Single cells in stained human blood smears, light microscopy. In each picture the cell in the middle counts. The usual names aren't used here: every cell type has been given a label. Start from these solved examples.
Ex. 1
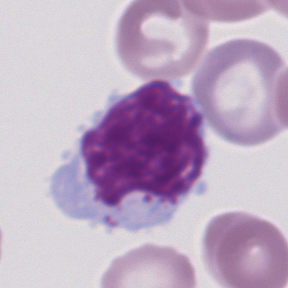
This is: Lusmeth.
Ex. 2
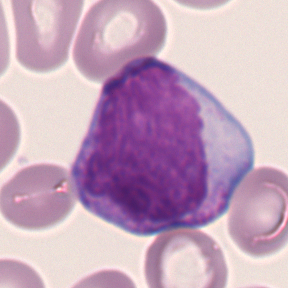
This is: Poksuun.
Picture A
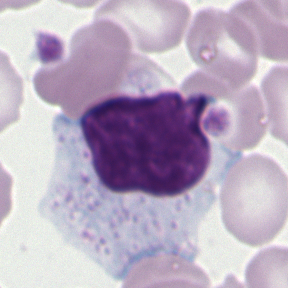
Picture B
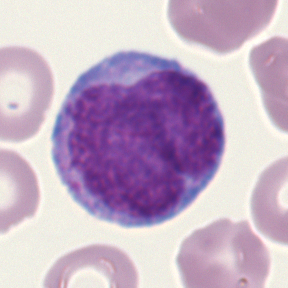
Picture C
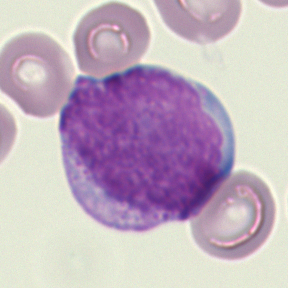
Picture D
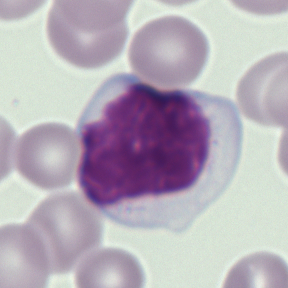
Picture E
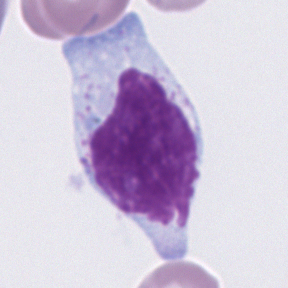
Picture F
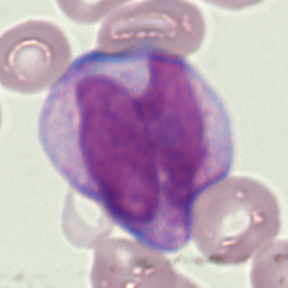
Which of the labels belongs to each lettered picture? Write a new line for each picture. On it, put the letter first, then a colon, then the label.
A: Lusmeth.
B: Poksuun.
C: Poksuun.
D: Lusmeth.
E: Lusmeth.
F: Poksuun.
